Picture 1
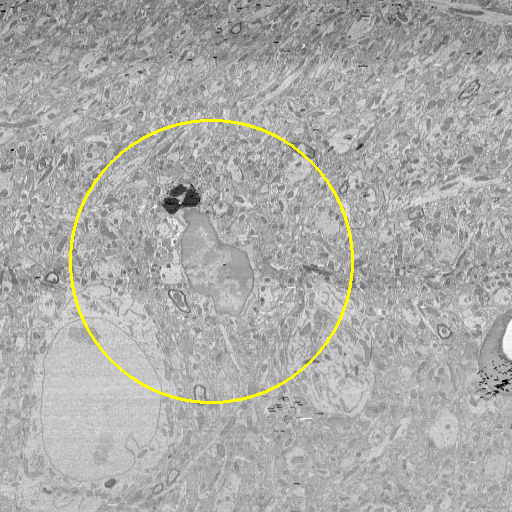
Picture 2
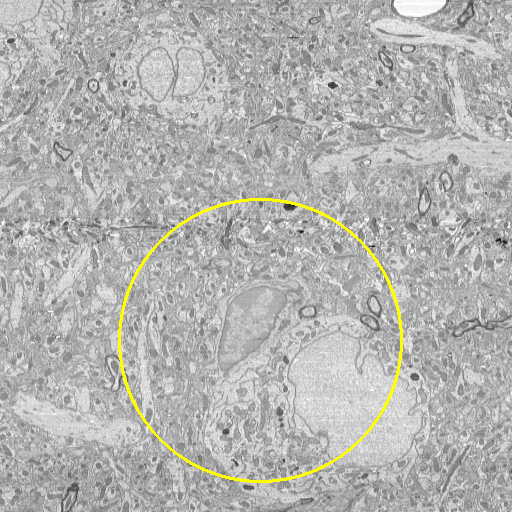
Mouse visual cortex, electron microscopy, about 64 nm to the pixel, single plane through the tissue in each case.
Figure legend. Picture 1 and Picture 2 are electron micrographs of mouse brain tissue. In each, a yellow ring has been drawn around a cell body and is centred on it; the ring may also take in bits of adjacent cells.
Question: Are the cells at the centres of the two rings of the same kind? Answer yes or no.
yes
